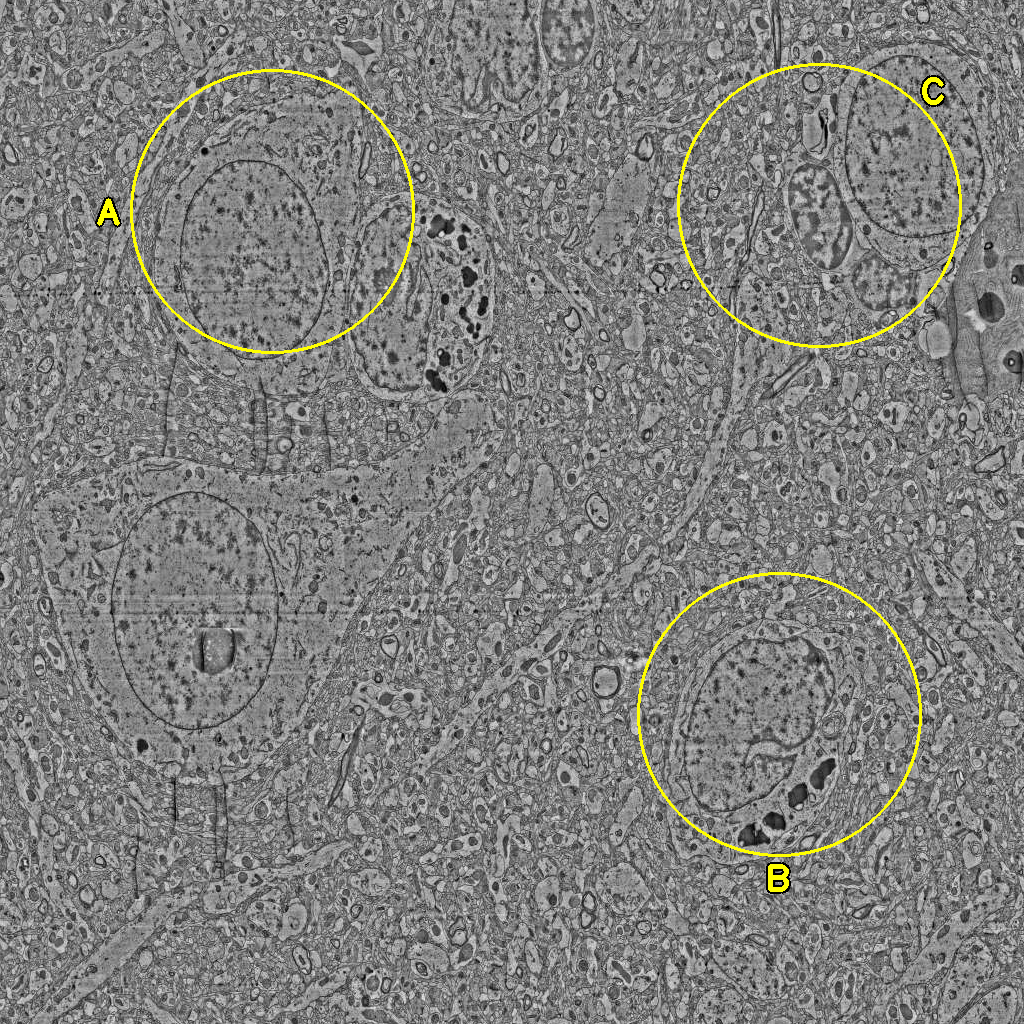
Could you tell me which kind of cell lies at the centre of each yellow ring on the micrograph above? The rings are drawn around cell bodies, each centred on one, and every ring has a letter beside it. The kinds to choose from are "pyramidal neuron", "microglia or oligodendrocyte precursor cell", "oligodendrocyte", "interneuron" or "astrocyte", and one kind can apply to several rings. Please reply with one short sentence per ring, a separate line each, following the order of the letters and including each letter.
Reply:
Ring A circles a pyramidal neuron.
Ring B circles an interneuron.
Ring C circles a microglial cell or oligodendrocyte precursor cell.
